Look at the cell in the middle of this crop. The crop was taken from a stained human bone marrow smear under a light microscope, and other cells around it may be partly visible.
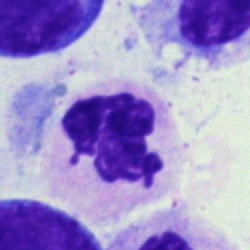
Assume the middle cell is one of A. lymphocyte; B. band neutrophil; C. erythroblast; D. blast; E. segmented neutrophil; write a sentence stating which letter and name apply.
The cell positioned centrally is a segmented neutrophil, as given in option E, which is correct.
